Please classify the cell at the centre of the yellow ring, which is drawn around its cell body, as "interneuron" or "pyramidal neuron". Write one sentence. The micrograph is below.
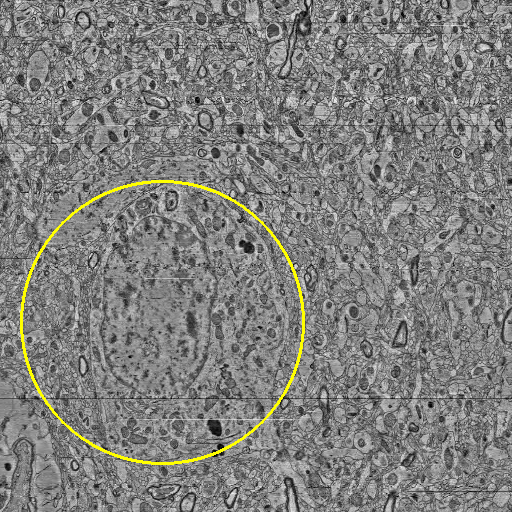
The cell at the ring's centre is classified as an interneuron.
